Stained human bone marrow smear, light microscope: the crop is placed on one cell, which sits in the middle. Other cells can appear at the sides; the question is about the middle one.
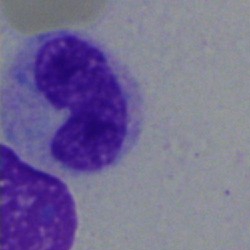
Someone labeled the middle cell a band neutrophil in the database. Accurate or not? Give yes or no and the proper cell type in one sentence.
Yes, the cell in the middle of the crop is a band neutrophil.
